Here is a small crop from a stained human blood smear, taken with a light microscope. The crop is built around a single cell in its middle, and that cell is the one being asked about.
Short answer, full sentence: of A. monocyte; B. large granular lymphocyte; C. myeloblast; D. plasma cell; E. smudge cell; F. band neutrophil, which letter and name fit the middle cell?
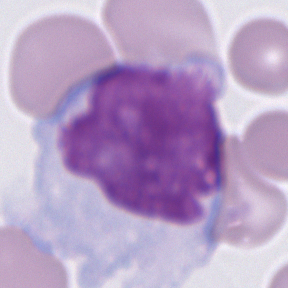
The cell centred in the crop is a monocyte, and the correct option is thus A.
